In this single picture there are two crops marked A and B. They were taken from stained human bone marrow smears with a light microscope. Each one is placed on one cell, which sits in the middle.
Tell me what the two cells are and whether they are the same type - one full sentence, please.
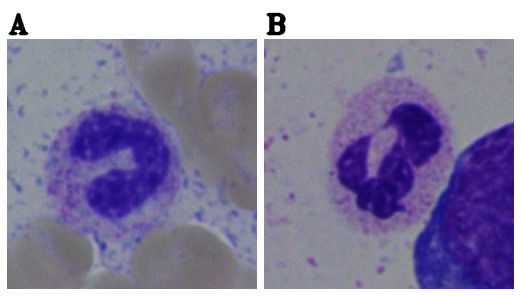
Yes, it is segmented neutrophils that sit at the centre of both crops.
